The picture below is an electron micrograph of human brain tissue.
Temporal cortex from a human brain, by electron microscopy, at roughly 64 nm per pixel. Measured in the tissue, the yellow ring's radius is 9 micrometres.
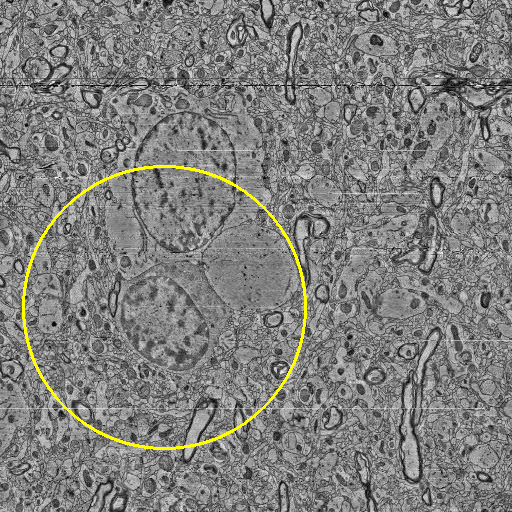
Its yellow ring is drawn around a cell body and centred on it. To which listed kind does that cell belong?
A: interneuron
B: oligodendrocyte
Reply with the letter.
B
